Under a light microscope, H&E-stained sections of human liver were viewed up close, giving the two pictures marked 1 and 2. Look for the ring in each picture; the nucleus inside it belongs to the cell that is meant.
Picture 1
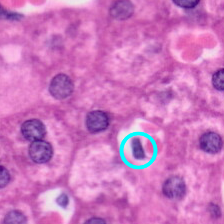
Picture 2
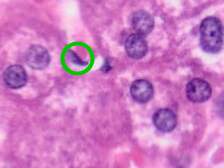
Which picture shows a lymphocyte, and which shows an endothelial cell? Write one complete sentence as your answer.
Picture 1 shows a lymphocyte and picture 2 shows an endothelial cell.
